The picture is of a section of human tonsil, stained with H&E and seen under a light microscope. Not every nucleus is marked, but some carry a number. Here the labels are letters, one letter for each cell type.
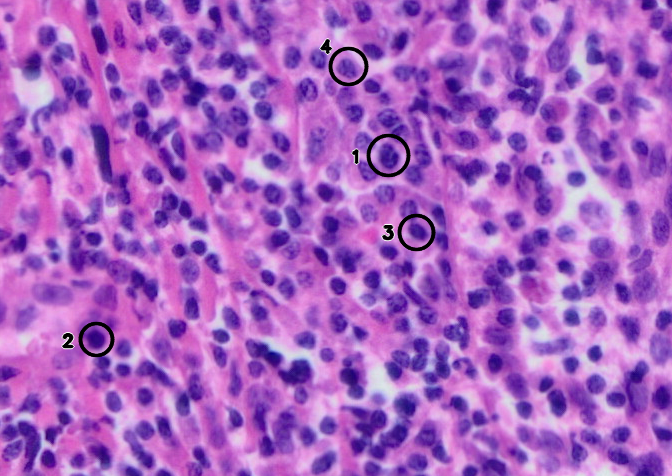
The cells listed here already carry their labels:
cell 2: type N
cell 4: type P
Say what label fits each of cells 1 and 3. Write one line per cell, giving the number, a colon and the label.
1: type P
3: type P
